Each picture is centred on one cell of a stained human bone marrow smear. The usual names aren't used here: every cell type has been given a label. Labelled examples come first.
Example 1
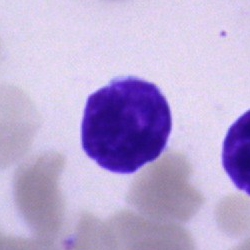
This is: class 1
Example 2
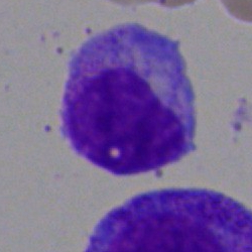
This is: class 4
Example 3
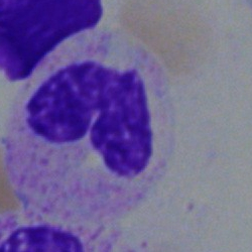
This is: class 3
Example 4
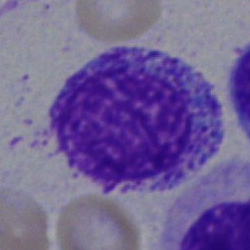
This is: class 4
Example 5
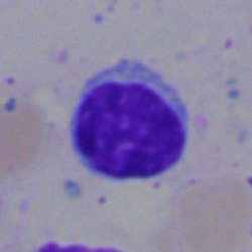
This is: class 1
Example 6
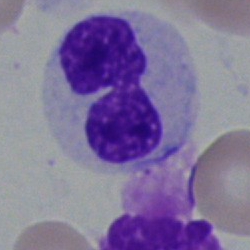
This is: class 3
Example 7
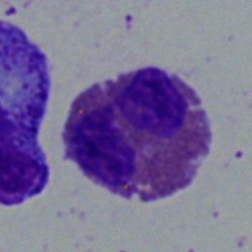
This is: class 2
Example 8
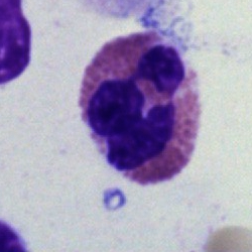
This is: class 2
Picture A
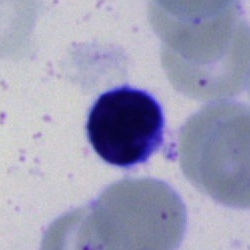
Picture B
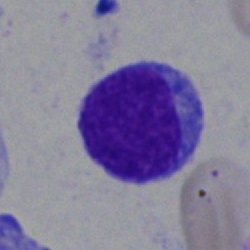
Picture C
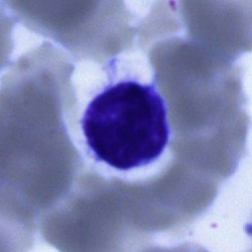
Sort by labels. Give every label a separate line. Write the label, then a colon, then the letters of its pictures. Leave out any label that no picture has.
class 1: A, B, C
